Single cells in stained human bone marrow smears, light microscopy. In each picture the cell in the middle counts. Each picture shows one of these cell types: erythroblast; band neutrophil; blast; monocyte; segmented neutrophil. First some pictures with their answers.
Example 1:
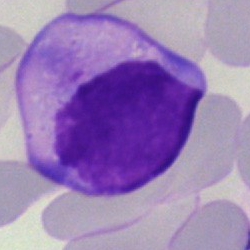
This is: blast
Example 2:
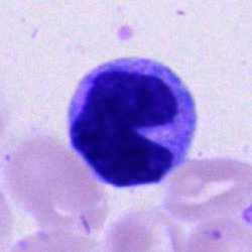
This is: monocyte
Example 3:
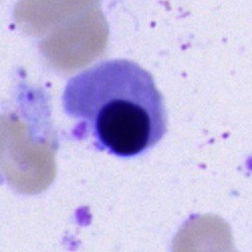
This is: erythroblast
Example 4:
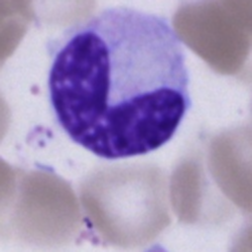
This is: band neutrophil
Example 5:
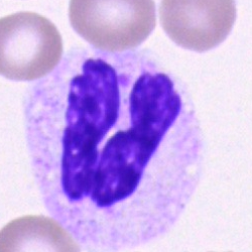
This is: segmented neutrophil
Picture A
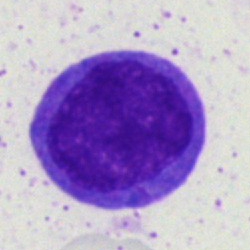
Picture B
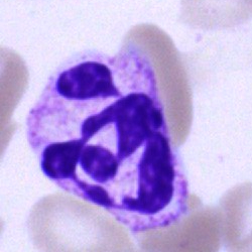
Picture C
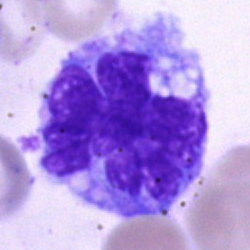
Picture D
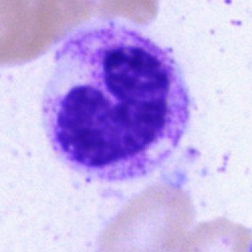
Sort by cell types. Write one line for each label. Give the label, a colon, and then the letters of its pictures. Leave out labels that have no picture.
band neutrophil: D
blast: A
monocyte: C
segmented neutrophil: B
